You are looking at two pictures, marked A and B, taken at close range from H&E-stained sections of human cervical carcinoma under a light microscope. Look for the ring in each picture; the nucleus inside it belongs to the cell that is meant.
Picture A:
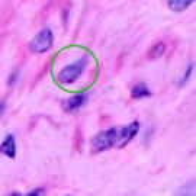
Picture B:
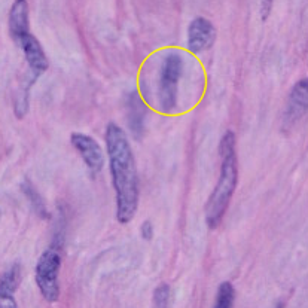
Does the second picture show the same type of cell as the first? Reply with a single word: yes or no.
yes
